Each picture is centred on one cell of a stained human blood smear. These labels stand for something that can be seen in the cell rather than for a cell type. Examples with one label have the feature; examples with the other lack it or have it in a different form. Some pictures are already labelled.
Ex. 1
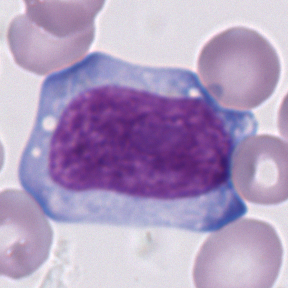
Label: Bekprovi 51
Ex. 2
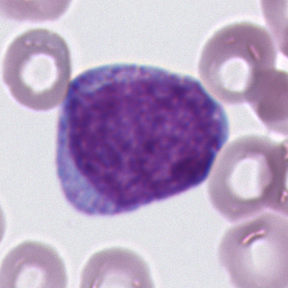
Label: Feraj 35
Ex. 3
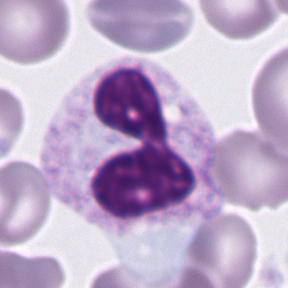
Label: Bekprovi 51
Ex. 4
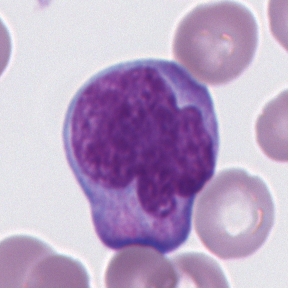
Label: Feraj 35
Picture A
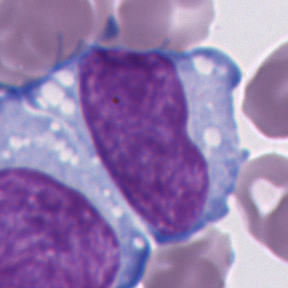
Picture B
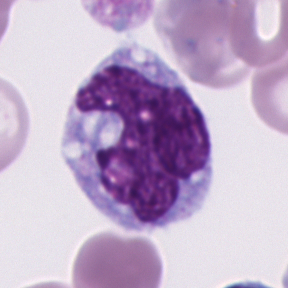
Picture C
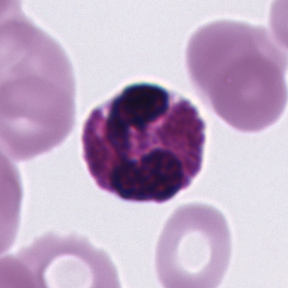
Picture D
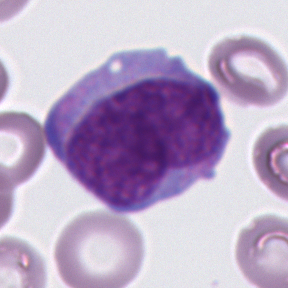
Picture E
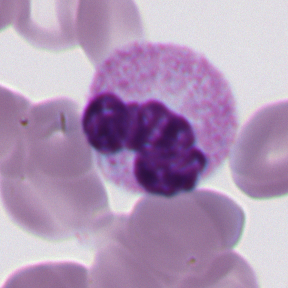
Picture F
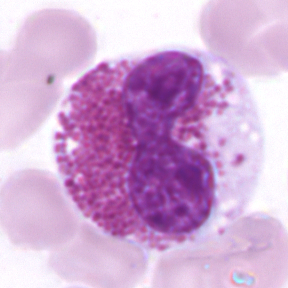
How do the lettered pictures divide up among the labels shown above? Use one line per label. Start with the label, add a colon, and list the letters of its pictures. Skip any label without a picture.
Bekprovi 51: A, B, D, F
Feraj 35: C, E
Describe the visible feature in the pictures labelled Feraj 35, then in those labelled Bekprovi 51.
In Feraj 35: no vacuoles. In Bekprovi 51: vacuoles present.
